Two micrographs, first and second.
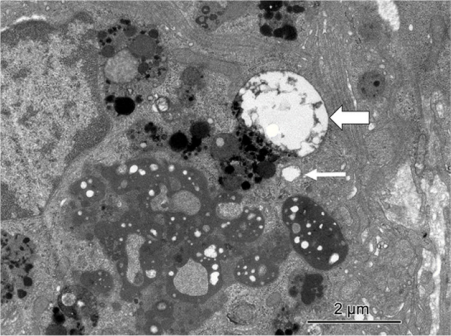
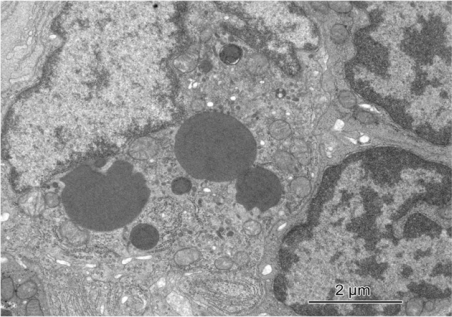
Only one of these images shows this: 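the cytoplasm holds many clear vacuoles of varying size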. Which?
The first image.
